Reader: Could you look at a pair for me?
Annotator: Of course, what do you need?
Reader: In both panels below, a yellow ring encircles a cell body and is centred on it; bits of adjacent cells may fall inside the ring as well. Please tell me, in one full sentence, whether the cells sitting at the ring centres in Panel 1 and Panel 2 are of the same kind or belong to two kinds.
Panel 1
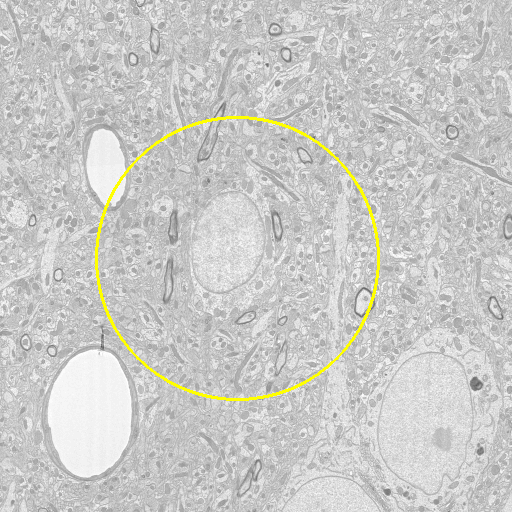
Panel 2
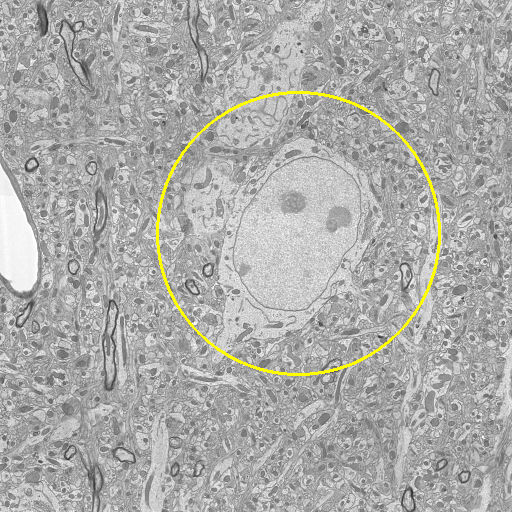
The cell at the ring's centre in Panel 1 and the one in Panel 2 belong to two kinds.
